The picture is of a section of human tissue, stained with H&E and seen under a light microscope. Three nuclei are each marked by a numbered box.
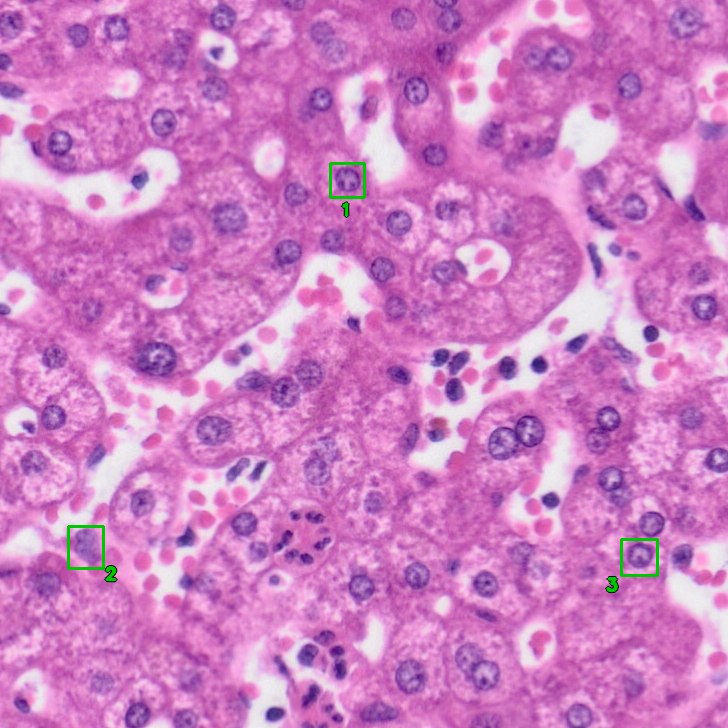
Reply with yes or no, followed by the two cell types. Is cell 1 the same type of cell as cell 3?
Yes, the numbered cells 1 and 3 are both hepatocytes.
